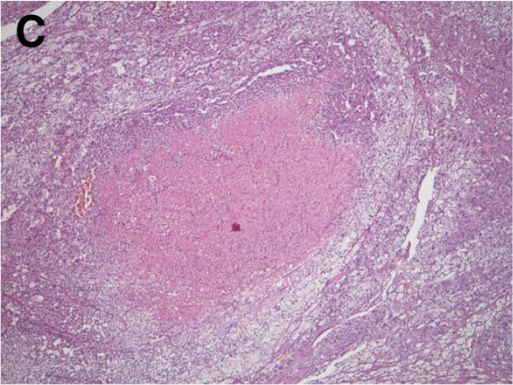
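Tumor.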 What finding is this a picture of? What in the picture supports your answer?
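Viable purple tumor tissue surrounds the pink area.
Conclusion: central necrosis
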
